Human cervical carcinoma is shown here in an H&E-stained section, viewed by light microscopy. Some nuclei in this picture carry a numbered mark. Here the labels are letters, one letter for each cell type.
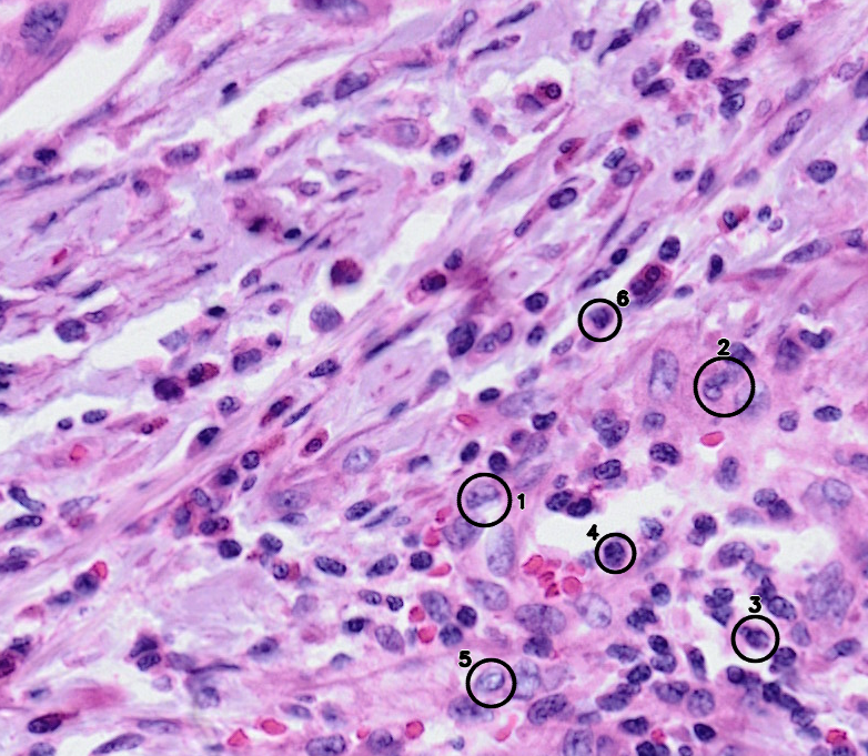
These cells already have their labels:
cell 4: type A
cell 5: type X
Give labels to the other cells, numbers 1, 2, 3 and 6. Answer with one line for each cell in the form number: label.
1: type X
2: type X
3: type A
6: type A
